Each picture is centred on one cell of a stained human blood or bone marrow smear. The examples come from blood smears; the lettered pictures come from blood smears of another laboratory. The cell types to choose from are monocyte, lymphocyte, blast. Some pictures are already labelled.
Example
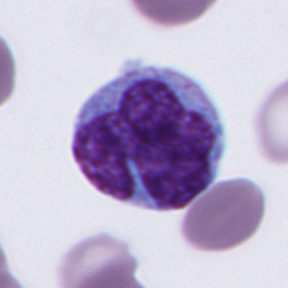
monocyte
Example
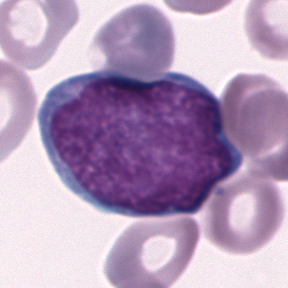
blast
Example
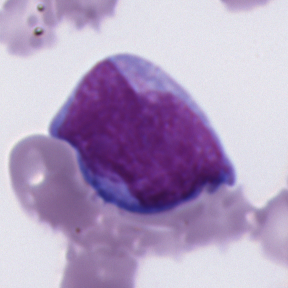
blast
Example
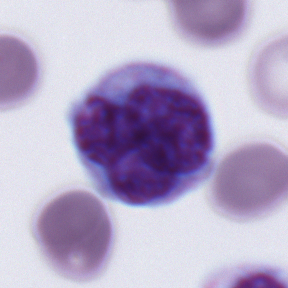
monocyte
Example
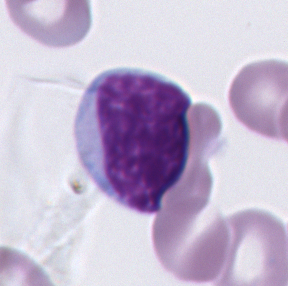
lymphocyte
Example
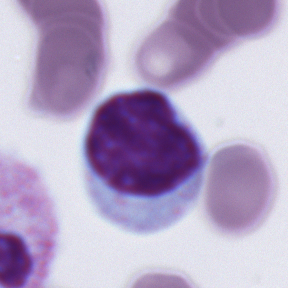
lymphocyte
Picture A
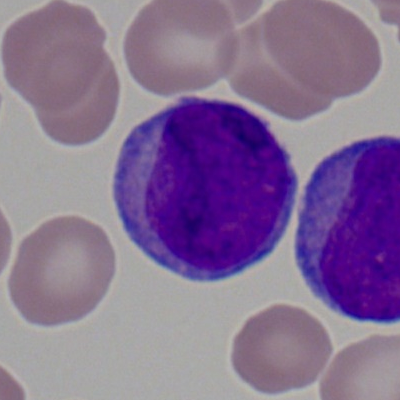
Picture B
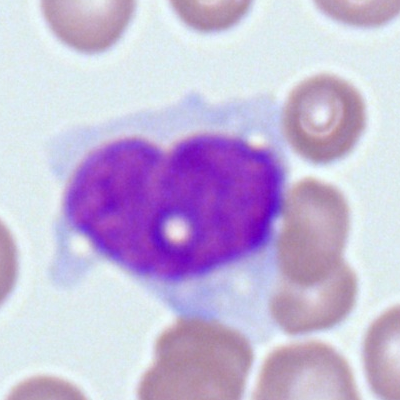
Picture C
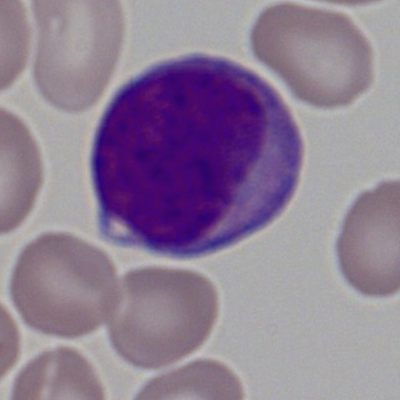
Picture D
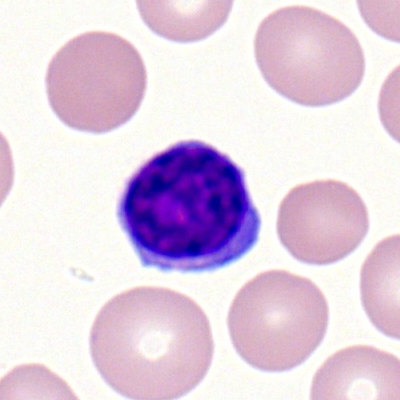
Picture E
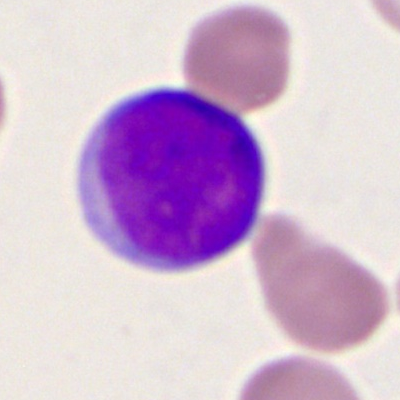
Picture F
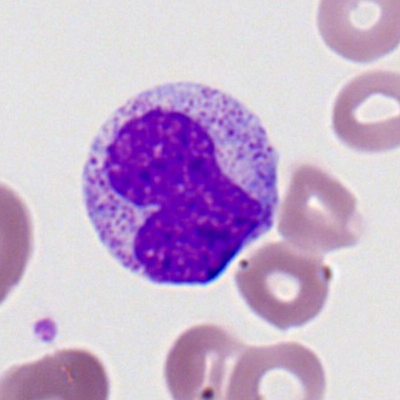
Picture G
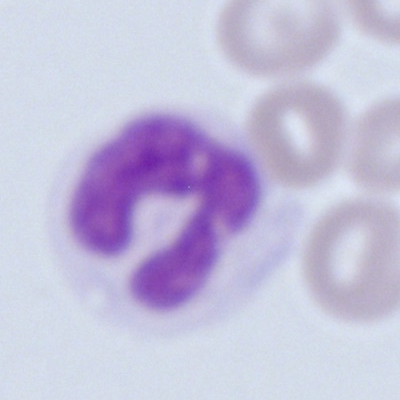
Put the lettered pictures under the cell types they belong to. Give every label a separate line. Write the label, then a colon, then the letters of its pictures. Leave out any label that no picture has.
monocyte: B, F, G
lymphocyte: D
blast: A, C, E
